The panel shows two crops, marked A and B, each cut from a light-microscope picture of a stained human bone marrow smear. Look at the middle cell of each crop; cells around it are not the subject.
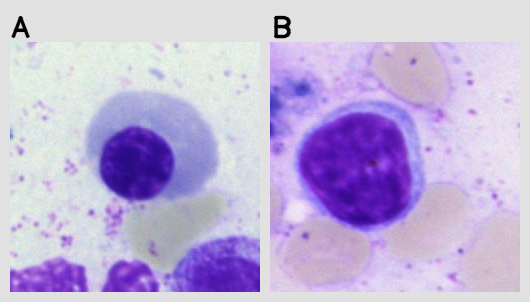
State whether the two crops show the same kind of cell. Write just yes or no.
no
